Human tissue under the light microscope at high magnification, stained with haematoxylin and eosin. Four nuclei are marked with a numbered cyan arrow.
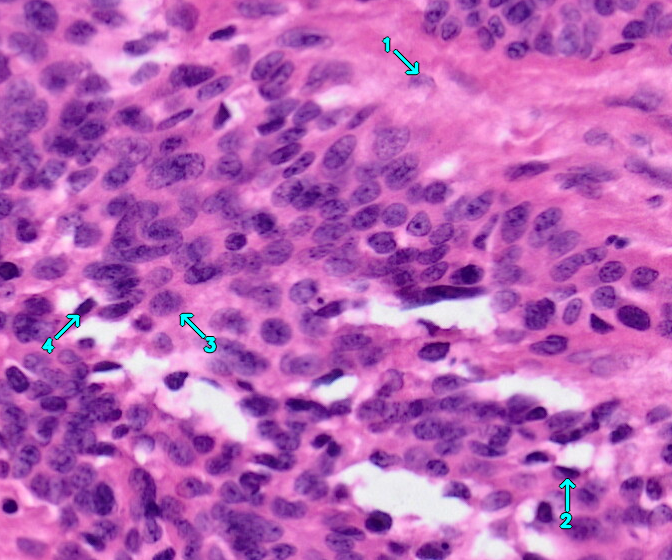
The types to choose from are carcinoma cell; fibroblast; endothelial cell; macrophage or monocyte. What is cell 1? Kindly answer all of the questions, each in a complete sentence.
The nucleus marked 1 is the nucleus of a fibroblast.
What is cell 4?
It is as a carcinoma cell that the cell numbered 4 is identified.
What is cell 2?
Regarding cell 2, this one is a carcinoma cell.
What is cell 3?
The numbered cell 3 is identified here as a carcinoma cell.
